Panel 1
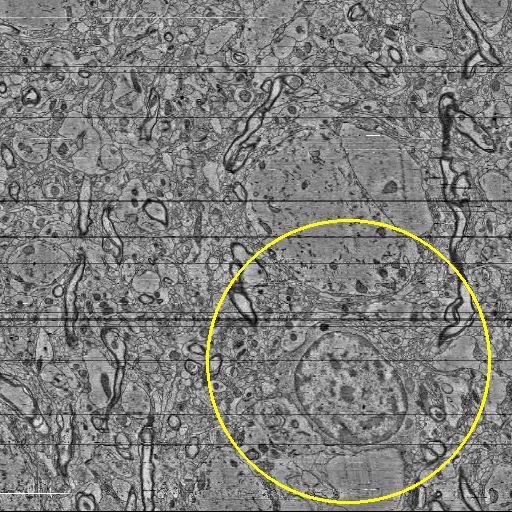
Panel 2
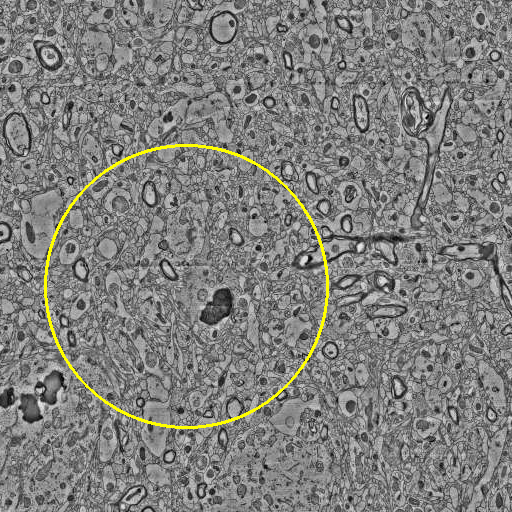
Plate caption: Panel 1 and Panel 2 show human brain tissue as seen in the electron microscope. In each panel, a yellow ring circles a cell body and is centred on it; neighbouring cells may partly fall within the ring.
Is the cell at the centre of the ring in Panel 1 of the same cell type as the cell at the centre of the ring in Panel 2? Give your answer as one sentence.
Yes, the two cells are of the same type.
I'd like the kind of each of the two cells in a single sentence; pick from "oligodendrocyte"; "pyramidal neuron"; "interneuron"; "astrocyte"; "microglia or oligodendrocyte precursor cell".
Both rings mark an oligodendrocyte, one in each picture.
